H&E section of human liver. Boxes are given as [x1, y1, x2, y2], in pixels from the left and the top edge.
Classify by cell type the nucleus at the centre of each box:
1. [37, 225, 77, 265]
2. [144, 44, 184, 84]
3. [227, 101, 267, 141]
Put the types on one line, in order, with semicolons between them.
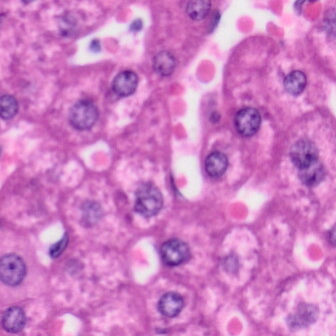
endothelial cell; hepatocyte; hepatocyte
